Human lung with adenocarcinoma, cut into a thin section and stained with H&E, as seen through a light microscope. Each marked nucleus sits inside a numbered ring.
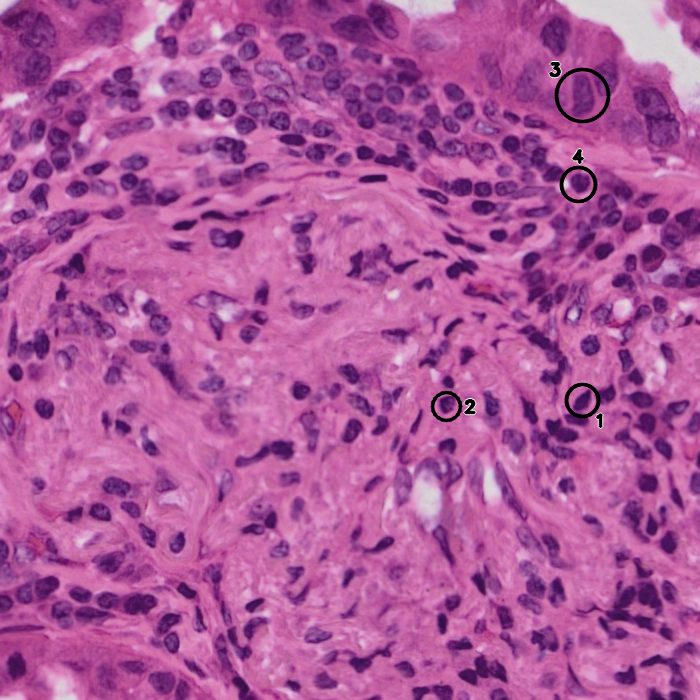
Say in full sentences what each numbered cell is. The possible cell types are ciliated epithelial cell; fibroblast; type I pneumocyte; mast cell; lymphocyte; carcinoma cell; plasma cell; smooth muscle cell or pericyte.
Cell 1 is a lymphocyte, cell 2 is a lymphocyte, cell 3 is a carcinoma cell and cell 4 is a lymphocyte.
